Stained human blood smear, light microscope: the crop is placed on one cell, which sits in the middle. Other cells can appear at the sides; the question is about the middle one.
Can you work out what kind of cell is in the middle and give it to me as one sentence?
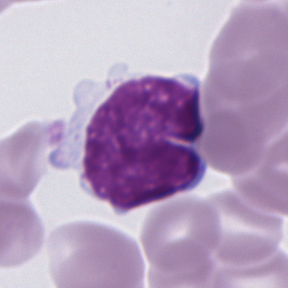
In this smear crop, the middle cell is a large granular lymphocyte.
